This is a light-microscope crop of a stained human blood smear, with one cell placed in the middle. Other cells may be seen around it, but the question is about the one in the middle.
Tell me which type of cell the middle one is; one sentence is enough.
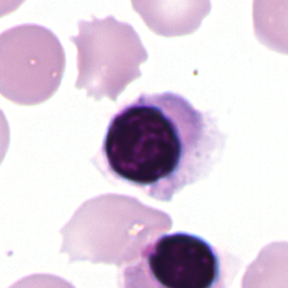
The cell marked by its central position in the crop is an erythroblast.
